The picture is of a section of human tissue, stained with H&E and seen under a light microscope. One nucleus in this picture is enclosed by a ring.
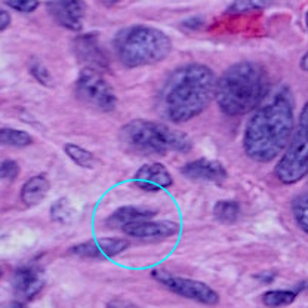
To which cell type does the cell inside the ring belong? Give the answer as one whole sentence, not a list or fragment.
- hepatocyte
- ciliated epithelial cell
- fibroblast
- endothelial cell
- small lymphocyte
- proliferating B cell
Speaking plainly, the cell inside the ring is nothing other than a fibroblast.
